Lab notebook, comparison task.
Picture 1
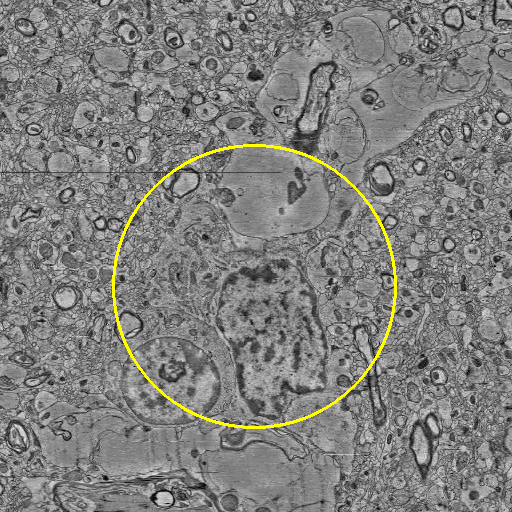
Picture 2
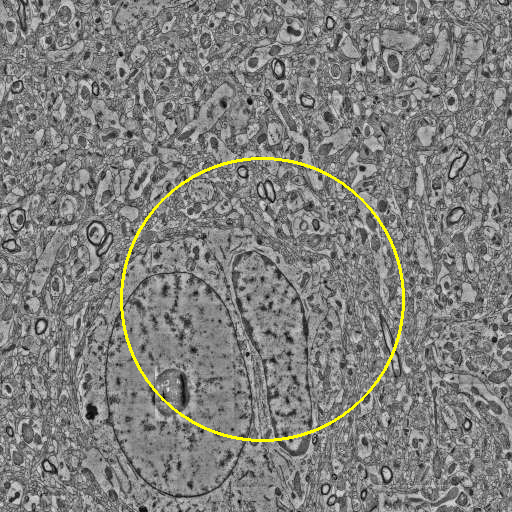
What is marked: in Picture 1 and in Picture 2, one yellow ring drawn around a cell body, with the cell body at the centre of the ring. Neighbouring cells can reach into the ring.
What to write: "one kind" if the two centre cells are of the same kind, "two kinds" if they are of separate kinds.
one kind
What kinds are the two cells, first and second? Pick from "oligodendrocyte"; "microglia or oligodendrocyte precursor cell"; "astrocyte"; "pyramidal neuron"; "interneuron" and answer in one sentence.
The second cell is a microglial cell or oligodendrocyte precursor cell, just as the first is.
